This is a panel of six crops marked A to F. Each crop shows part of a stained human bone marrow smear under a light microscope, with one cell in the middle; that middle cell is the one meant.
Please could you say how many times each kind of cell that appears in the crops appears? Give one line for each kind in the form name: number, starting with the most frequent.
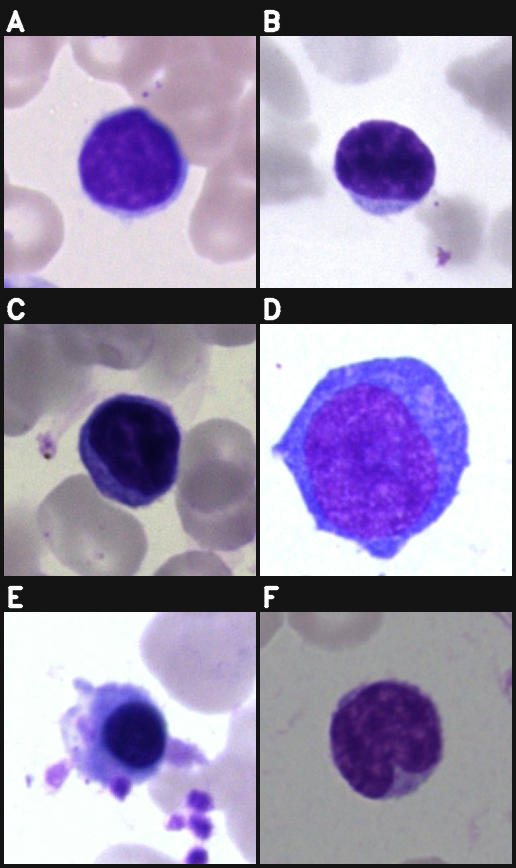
lymphocyte: 3
blast: 2
normoblast: 1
